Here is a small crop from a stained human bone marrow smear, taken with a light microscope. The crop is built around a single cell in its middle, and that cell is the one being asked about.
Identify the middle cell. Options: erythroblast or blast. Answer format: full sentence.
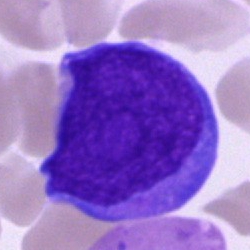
The cell at the heart of this crop is a blast.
